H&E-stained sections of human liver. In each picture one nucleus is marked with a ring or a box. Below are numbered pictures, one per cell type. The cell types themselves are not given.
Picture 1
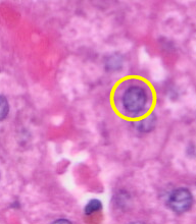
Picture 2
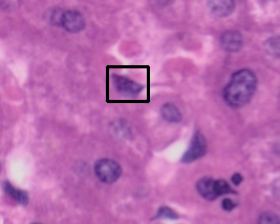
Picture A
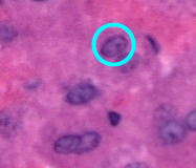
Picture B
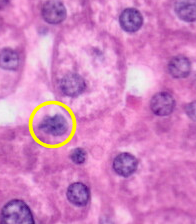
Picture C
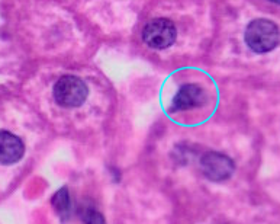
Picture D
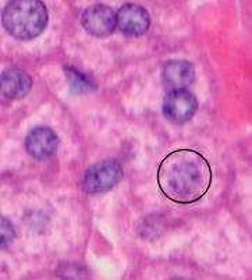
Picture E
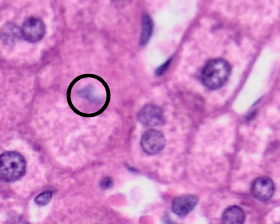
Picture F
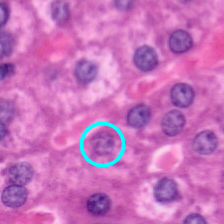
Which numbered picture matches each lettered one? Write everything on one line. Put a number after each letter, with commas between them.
A 1, B 2, C 2, D 1, E 2, F 1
